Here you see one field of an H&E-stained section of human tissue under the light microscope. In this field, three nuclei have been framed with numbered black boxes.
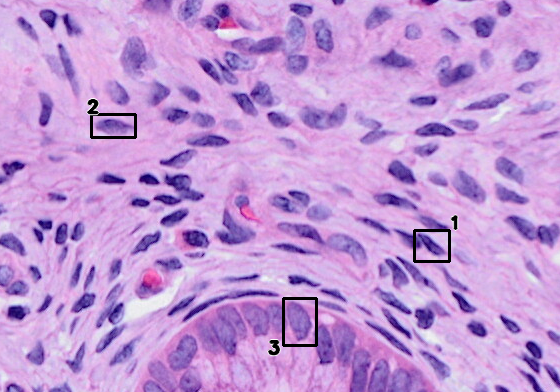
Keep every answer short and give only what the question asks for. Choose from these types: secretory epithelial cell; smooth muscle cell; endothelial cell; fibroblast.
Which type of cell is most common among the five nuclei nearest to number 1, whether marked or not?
fibroblast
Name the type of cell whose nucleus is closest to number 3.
secretory epithelial cell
